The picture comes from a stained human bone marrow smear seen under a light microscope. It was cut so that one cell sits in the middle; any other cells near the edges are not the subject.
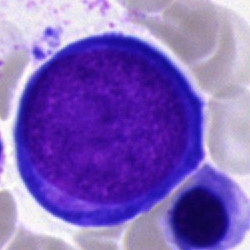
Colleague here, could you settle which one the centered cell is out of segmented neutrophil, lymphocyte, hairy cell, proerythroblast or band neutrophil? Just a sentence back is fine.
The central cell in this smear crop is a proerythroblast.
